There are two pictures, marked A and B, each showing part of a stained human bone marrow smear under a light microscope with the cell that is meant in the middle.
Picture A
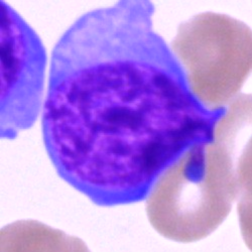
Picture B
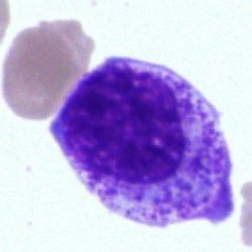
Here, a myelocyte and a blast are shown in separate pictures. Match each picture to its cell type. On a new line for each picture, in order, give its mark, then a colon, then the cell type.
A: blast
B: myelocyte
